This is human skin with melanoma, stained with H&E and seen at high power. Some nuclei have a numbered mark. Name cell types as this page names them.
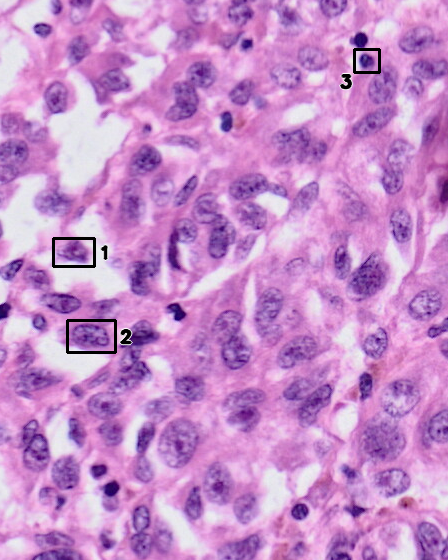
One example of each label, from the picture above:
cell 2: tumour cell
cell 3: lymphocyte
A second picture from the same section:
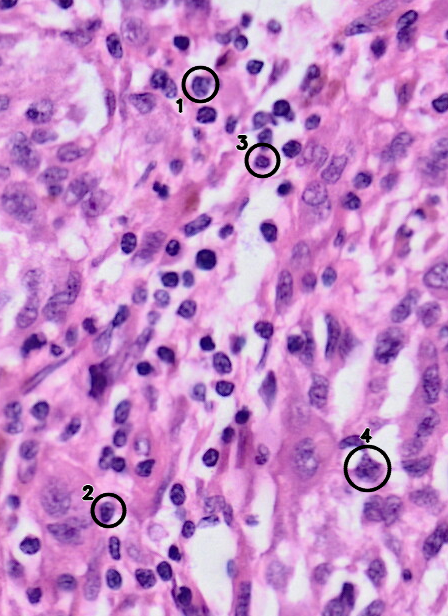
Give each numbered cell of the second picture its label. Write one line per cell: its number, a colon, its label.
1: lymphocyte
2: lymphocyte
3: lymphocyte
4: tumour cell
